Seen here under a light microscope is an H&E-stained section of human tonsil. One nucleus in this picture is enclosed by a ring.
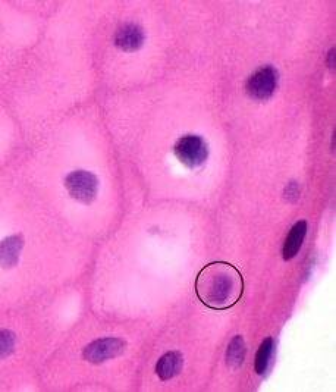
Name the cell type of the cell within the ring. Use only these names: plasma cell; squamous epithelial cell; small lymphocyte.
squamous epithelial cell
